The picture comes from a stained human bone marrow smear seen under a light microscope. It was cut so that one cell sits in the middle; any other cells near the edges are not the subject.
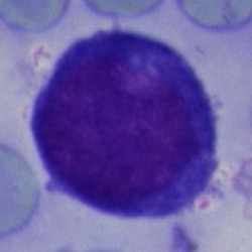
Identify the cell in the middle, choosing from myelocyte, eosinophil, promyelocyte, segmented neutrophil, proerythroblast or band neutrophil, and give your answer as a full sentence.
The cell shown in the center of this light-microscope crop is a proerythroblast.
